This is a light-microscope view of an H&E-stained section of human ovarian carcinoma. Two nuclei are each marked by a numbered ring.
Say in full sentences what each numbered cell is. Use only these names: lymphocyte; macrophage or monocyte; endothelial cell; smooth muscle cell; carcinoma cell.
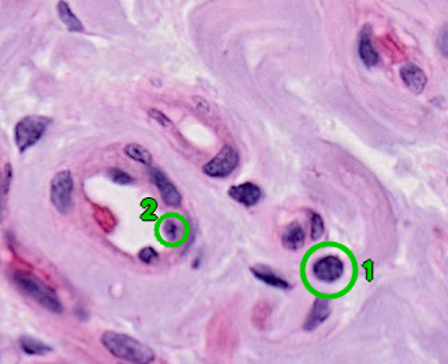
Cell 1 is a lymphocyte. Cell 2 is an endothelial cell.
